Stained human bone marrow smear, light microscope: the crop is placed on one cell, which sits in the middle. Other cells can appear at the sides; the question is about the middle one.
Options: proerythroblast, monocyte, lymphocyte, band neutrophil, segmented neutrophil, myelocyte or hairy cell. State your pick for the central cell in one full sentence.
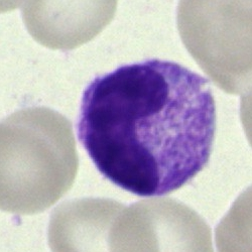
In the centre of this crop there is a band neutrophil.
